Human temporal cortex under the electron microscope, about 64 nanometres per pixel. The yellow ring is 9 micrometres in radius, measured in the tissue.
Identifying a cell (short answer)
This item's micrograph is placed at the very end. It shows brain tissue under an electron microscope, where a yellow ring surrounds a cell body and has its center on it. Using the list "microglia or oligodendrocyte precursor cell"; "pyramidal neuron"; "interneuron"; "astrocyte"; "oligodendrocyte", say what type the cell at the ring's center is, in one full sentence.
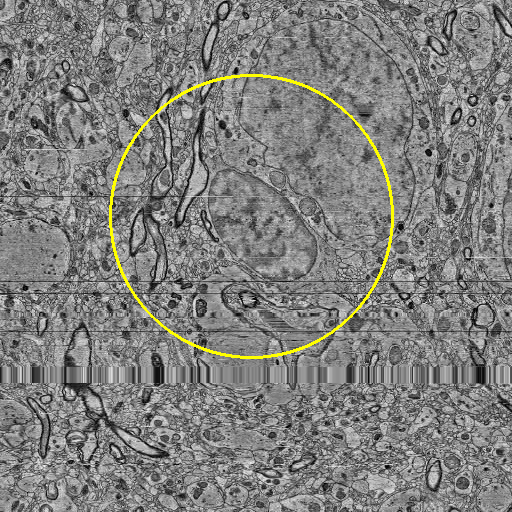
This picture shows an oligodendrocyte at the center of the yellow ring drawn on it.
